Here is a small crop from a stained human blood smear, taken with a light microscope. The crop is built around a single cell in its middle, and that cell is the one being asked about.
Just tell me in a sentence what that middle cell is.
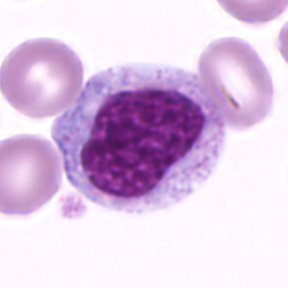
Occupying the centre of the crop is a metamyelocyte.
